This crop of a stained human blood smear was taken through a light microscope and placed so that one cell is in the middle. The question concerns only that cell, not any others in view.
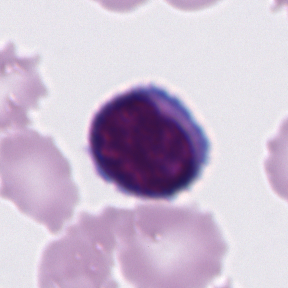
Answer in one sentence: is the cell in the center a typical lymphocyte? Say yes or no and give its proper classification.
Yes, the crop's central cell is a typical lymphocyte.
